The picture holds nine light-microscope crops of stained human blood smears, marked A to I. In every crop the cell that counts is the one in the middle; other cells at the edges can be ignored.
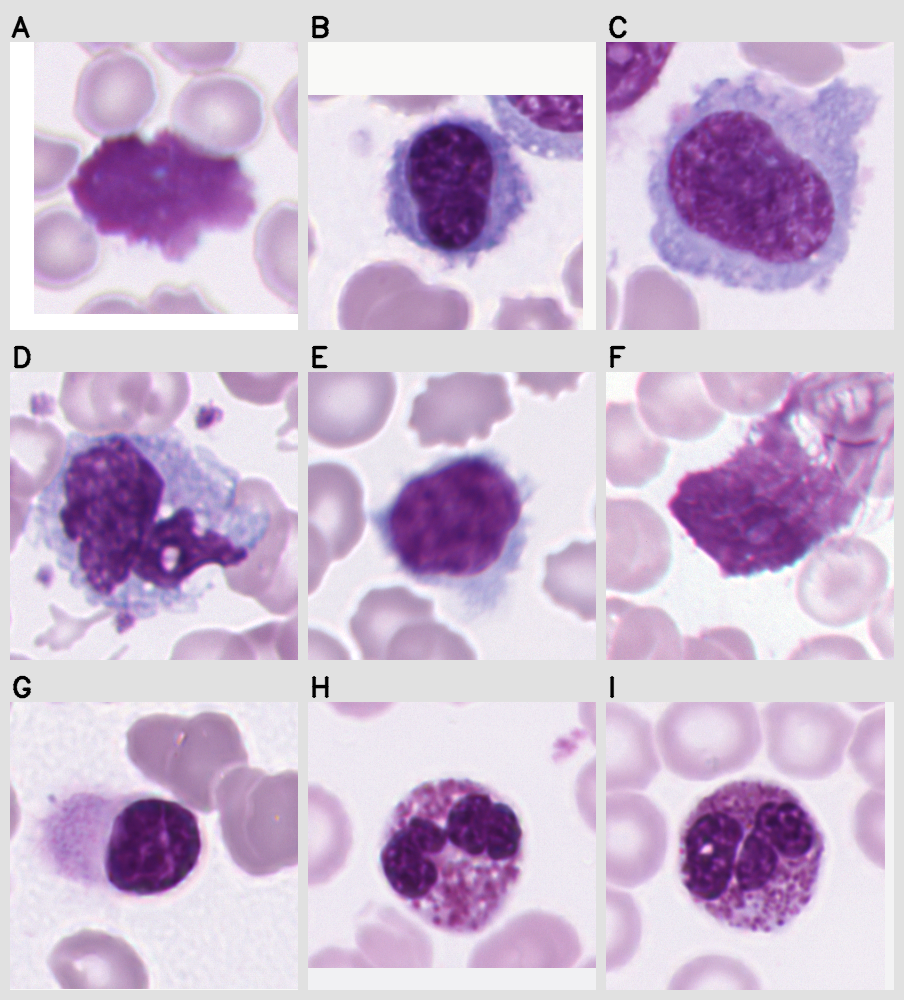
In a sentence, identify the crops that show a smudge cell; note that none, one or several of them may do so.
The cells at the centre of the crops labelled A and F are smudge cells.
